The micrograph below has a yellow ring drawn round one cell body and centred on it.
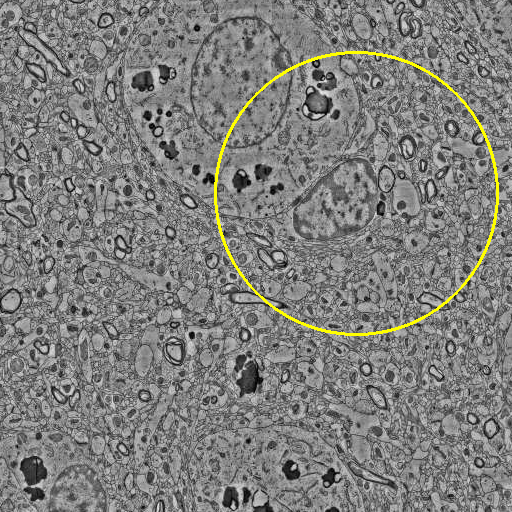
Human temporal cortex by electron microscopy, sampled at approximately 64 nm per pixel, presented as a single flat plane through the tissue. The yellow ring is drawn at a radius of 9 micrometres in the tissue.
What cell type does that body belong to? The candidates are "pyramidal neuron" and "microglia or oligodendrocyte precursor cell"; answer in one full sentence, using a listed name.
This is a microglial cell or oligodendrocyte precursor cell, the cell whose body lies at the centre of the ring.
